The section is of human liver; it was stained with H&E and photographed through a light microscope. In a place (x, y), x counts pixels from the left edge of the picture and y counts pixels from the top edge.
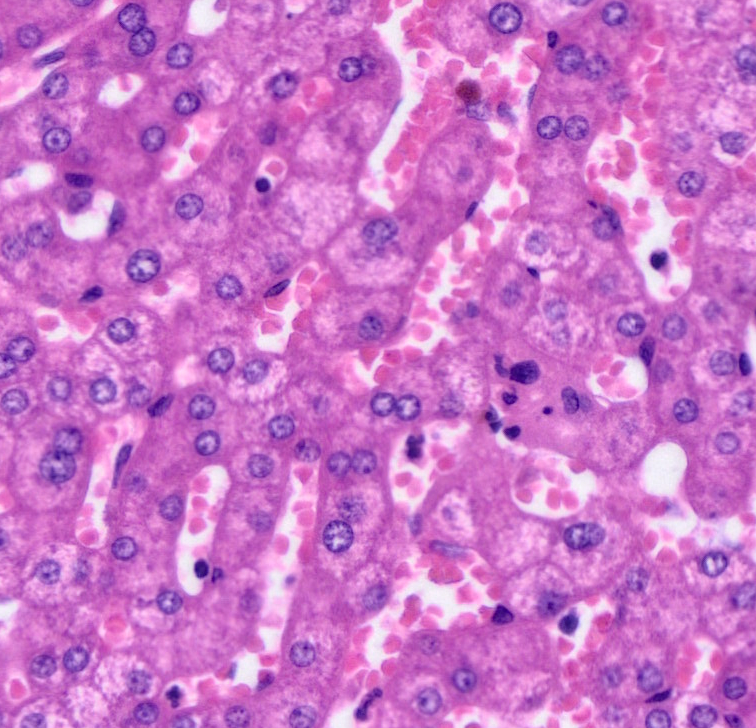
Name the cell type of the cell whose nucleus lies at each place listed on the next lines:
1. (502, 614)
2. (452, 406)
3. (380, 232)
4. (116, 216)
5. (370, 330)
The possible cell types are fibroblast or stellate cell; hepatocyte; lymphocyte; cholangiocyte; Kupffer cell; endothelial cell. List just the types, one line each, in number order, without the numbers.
fibroblast or stellate cell
hepatocyte
hepatocyte
endothelial cell
hepatocyte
